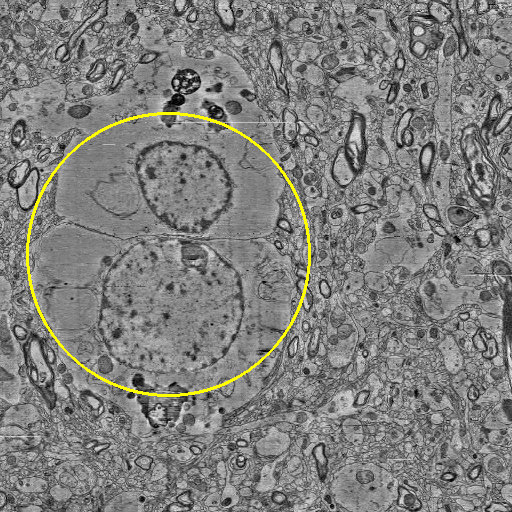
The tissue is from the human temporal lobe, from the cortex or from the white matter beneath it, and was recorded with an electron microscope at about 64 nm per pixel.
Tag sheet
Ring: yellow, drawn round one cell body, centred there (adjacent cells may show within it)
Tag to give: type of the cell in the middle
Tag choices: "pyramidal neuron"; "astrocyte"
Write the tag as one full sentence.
I tag the cell centred in the yellow ring as an astrocyte in this picture.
